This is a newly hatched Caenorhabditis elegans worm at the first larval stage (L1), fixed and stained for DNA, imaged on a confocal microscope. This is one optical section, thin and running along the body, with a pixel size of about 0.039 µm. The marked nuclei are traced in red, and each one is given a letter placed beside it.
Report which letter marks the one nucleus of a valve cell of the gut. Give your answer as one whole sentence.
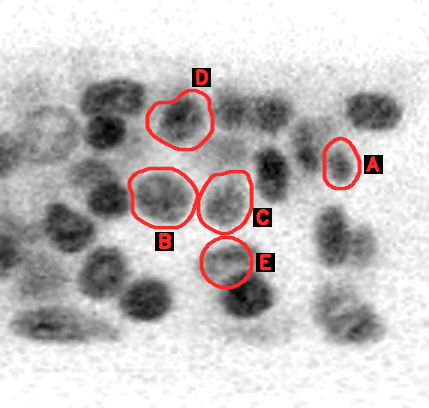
The one from a valve cell of the gut is A.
